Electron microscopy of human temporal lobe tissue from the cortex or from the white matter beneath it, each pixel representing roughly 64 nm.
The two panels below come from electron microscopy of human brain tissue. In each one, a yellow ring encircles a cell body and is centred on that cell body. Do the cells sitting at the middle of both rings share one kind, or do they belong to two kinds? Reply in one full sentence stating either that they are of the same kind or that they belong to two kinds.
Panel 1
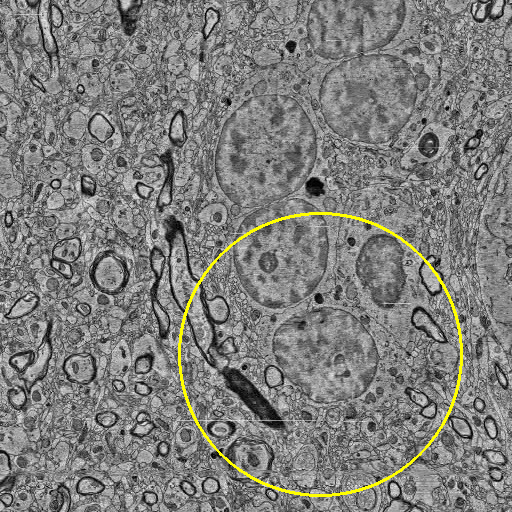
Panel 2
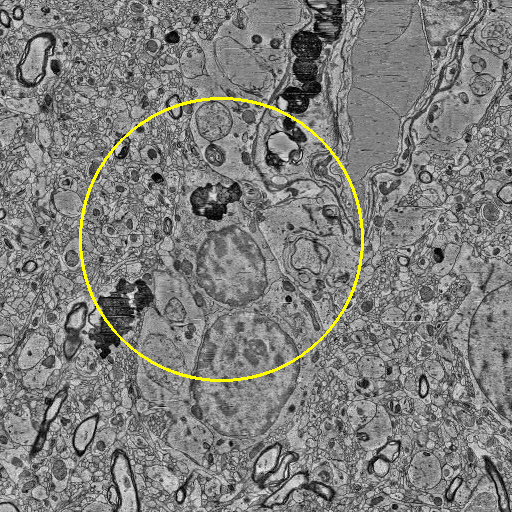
The cells at the centres of the two rings are of the same kind.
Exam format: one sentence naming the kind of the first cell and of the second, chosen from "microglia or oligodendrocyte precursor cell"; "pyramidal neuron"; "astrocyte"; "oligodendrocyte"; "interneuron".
Each one of the two ringed cells is an oligodendrocyte.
